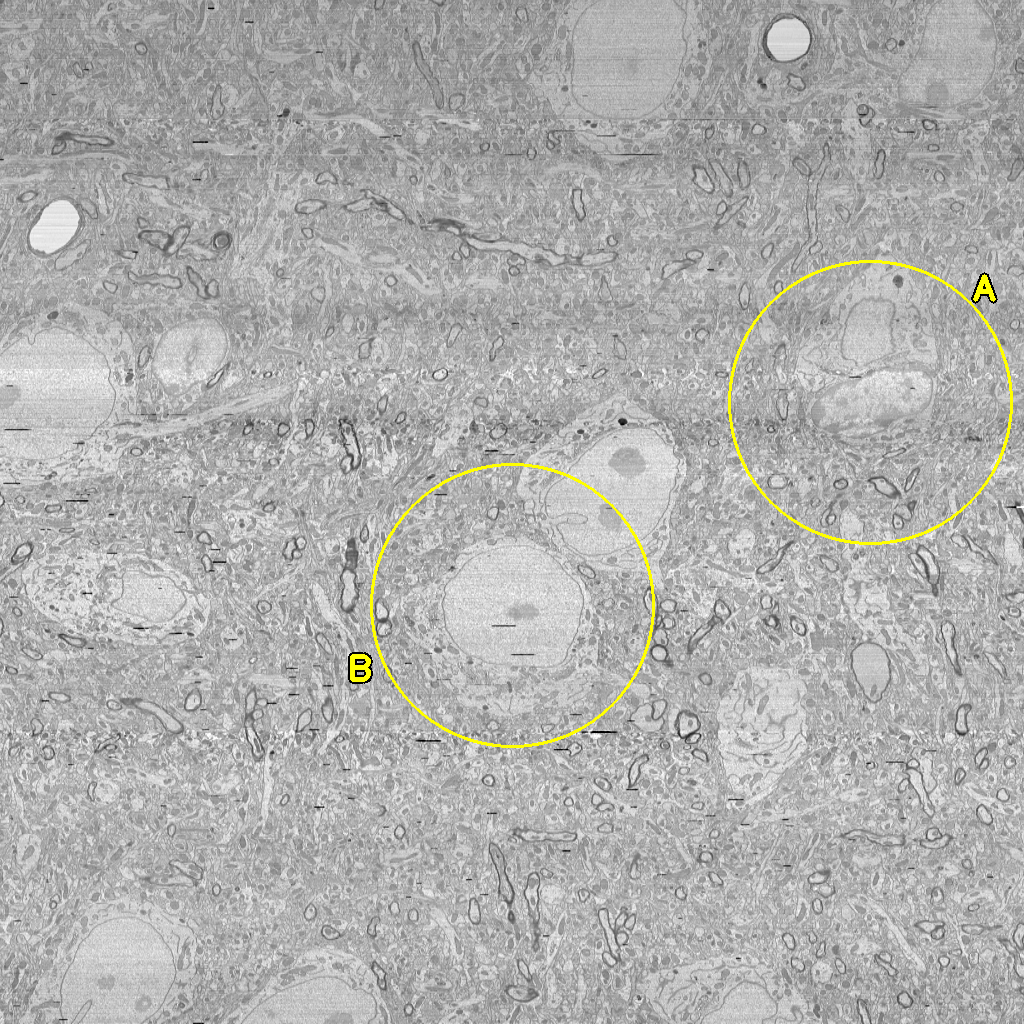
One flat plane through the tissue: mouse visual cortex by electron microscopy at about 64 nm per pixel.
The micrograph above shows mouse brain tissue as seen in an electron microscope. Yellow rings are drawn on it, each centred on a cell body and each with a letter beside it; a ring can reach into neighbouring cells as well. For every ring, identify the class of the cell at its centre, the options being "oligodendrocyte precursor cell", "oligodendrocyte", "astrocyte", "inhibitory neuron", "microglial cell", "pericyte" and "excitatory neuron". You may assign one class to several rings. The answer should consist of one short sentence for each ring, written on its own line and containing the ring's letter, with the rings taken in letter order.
The ring lettered A is centred on an oligodendrocyte.
The ring lettered B is centred on an excitatory neuron.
